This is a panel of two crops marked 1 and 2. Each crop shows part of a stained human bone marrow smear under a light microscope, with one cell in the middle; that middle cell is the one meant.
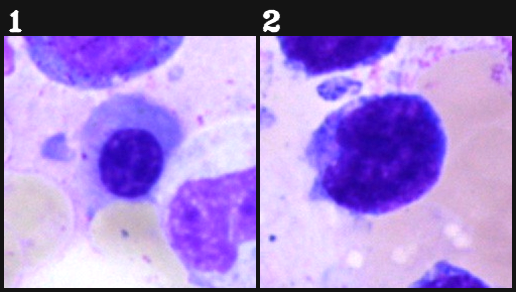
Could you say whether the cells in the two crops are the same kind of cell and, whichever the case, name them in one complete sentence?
No, in this case crop 1 shows a normoblast, and crop 2 shows a blast.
